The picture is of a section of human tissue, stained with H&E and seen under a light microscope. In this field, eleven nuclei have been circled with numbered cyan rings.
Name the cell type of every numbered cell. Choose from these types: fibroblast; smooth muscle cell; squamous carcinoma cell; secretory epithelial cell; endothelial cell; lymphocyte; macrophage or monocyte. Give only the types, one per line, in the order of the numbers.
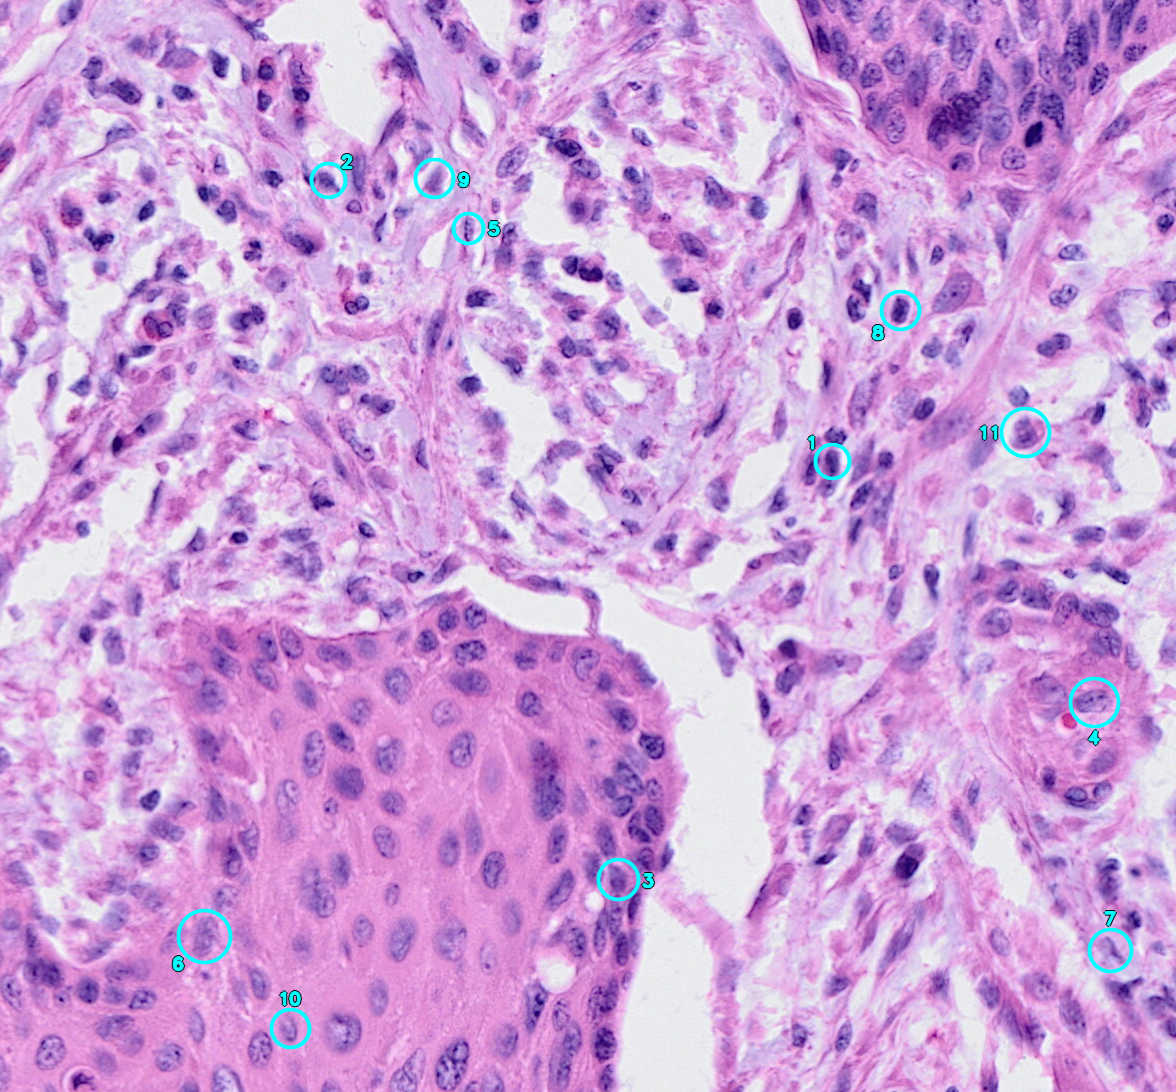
lymphocyte
lymphocyte
squamous carcinoma cell
endothelial cell
fibroblast
squamous carcinoma cell
fibroblast
lymphocyte
fibroblast
squamous carcinoma cell
macrophage or monocyte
